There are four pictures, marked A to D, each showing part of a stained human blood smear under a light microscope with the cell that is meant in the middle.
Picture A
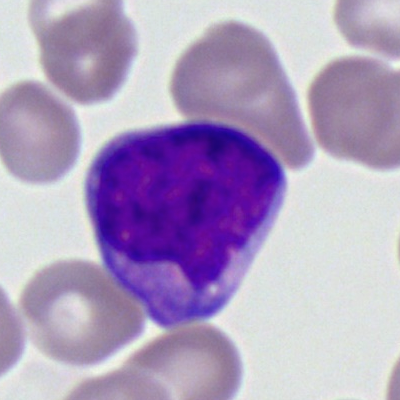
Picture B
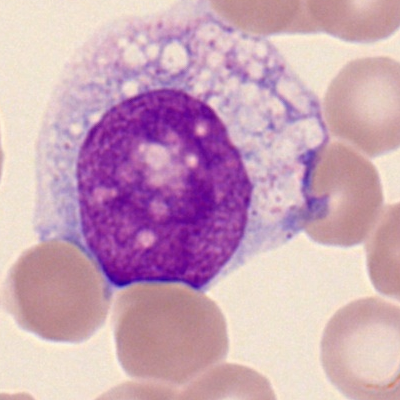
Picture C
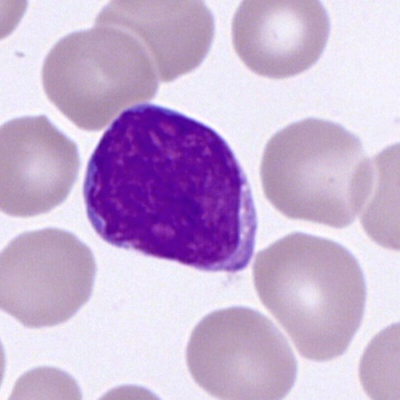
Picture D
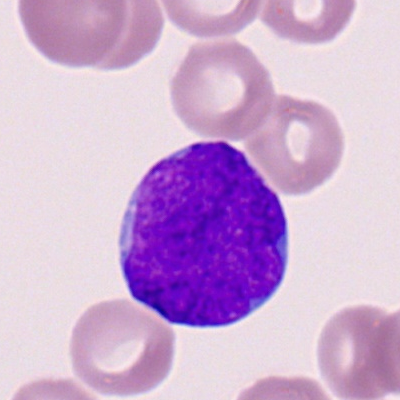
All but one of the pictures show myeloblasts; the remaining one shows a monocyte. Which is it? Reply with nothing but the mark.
B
